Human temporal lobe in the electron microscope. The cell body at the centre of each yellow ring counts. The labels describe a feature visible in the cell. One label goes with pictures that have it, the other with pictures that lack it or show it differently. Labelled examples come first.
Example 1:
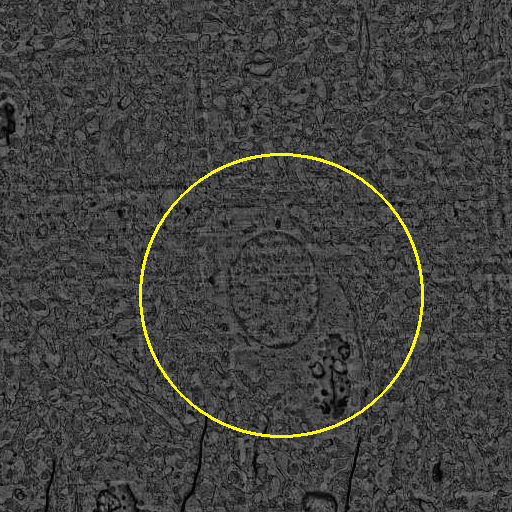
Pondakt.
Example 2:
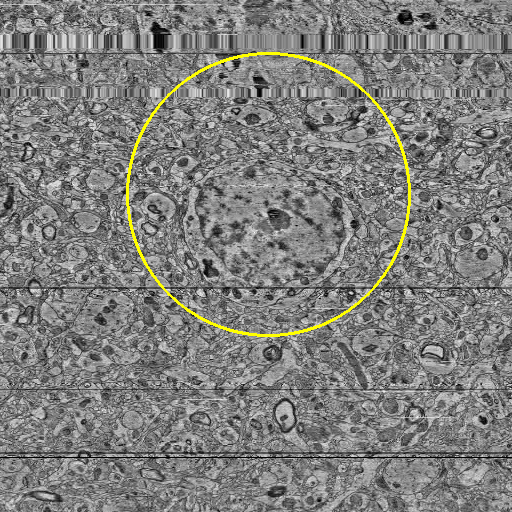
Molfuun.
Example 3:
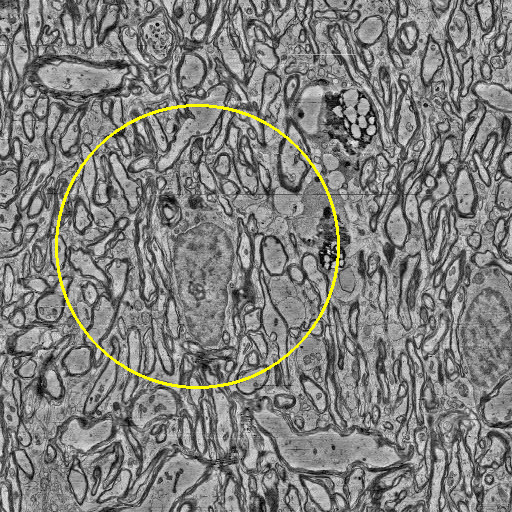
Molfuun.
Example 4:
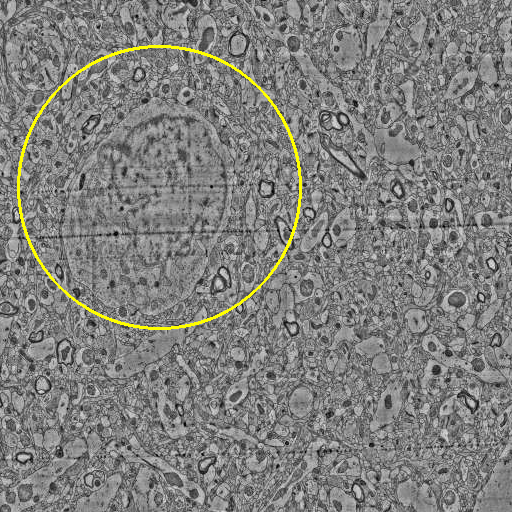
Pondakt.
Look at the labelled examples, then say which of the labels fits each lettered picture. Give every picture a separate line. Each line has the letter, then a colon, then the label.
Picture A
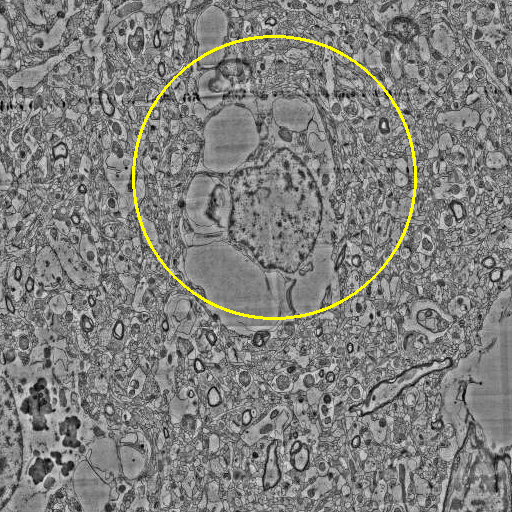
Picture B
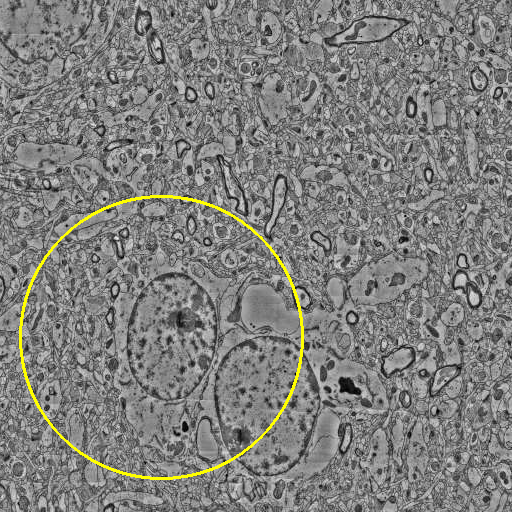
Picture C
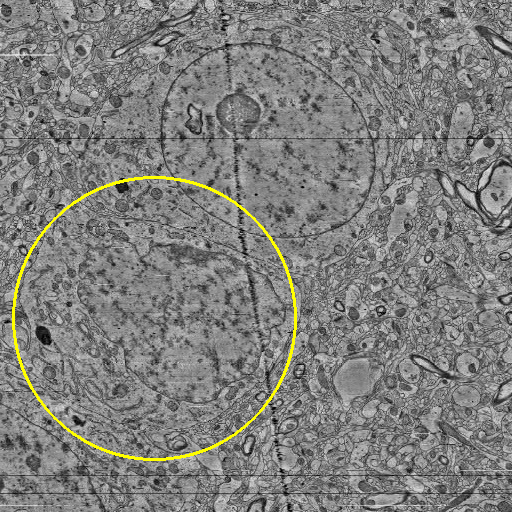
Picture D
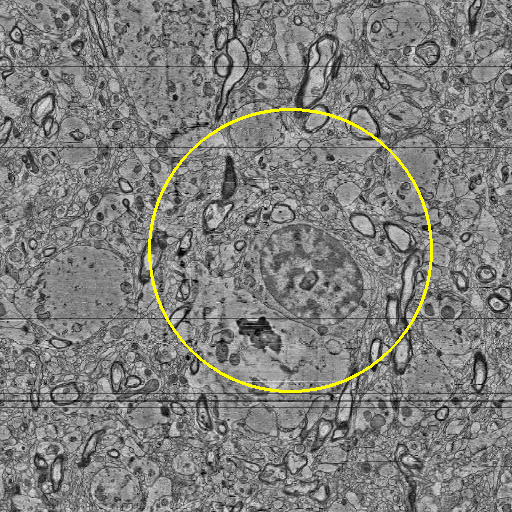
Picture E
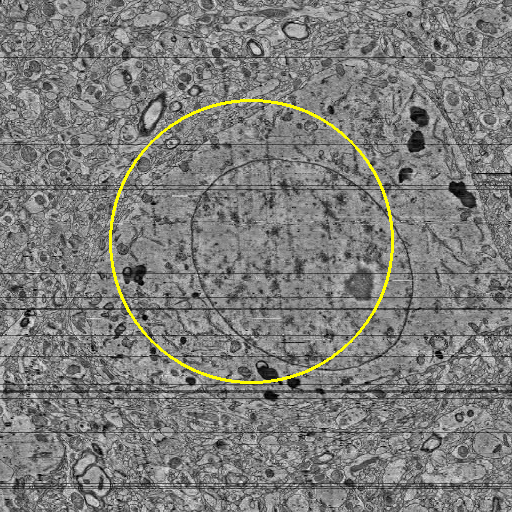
A: Pondakt.
B: Molfuun.
C: Pondakt.
D: Molfuun.
E: Molfuun.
